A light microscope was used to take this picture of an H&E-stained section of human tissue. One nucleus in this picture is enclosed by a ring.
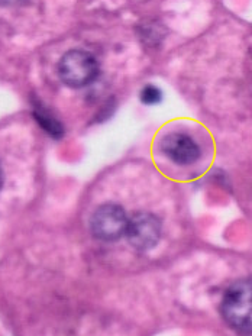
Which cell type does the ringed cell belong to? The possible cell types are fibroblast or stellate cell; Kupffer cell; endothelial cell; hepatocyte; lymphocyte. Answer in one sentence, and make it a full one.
For cell typing purposes, the ringed cell is a Kupffer cell.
